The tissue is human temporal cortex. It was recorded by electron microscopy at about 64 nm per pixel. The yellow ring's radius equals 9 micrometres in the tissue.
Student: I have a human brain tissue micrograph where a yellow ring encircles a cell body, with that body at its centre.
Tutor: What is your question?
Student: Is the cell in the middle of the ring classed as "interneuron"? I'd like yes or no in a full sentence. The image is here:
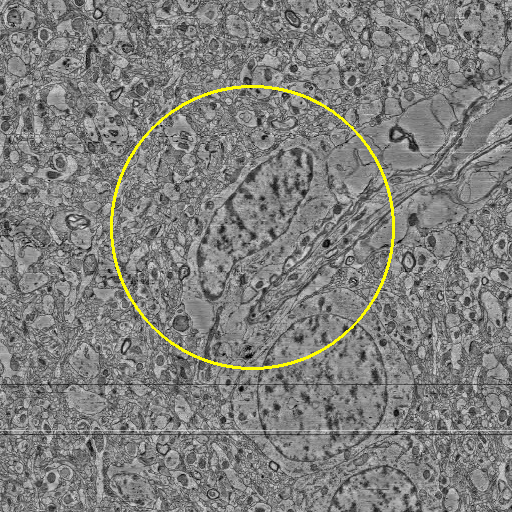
No, the ringed cell in the middle counts as another kind.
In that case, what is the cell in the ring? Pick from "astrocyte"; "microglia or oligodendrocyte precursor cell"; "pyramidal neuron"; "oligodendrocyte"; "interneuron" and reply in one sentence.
The cell this ring marks is a microglial cell or oligodendrocyte precursor cell.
